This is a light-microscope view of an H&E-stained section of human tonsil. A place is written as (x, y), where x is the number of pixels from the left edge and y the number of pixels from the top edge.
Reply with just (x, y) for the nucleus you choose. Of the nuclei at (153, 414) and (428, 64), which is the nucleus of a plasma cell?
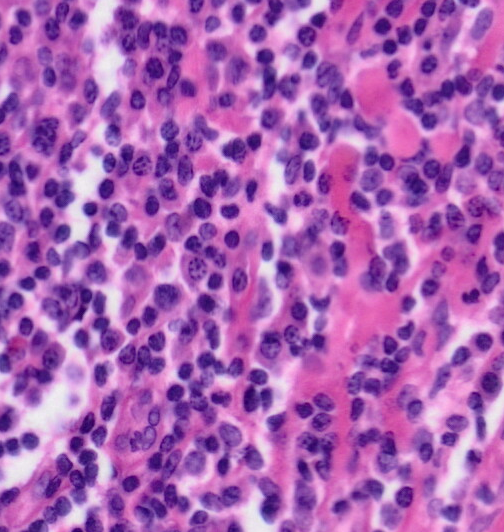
(428, 64)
